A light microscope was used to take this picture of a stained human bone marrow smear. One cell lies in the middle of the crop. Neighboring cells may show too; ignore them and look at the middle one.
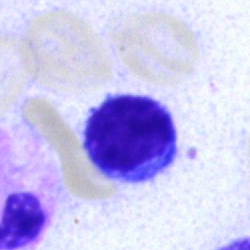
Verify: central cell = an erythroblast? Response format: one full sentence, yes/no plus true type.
No, the cell in the middle of the crop counts as a lymphocyte and not as an erythroblast.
